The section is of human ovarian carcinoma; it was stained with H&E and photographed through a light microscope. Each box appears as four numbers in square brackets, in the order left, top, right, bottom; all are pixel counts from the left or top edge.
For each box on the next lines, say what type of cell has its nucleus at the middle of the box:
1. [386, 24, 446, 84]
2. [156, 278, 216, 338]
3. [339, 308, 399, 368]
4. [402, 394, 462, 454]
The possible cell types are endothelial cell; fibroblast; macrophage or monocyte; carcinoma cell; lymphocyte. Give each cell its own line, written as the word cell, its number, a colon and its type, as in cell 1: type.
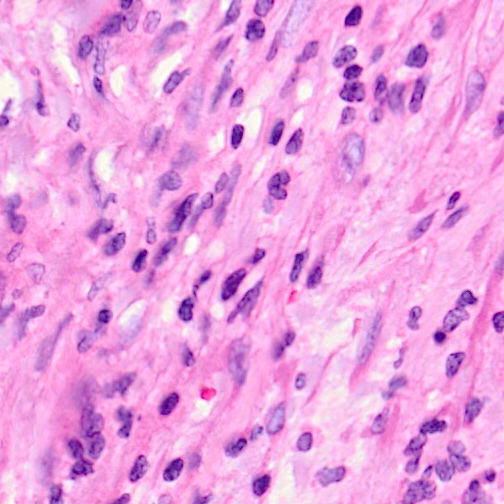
cell 1: lymphocyte
cell 2: lymphocyte
cell 3: fibroblast
cell 4: lymphocyte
